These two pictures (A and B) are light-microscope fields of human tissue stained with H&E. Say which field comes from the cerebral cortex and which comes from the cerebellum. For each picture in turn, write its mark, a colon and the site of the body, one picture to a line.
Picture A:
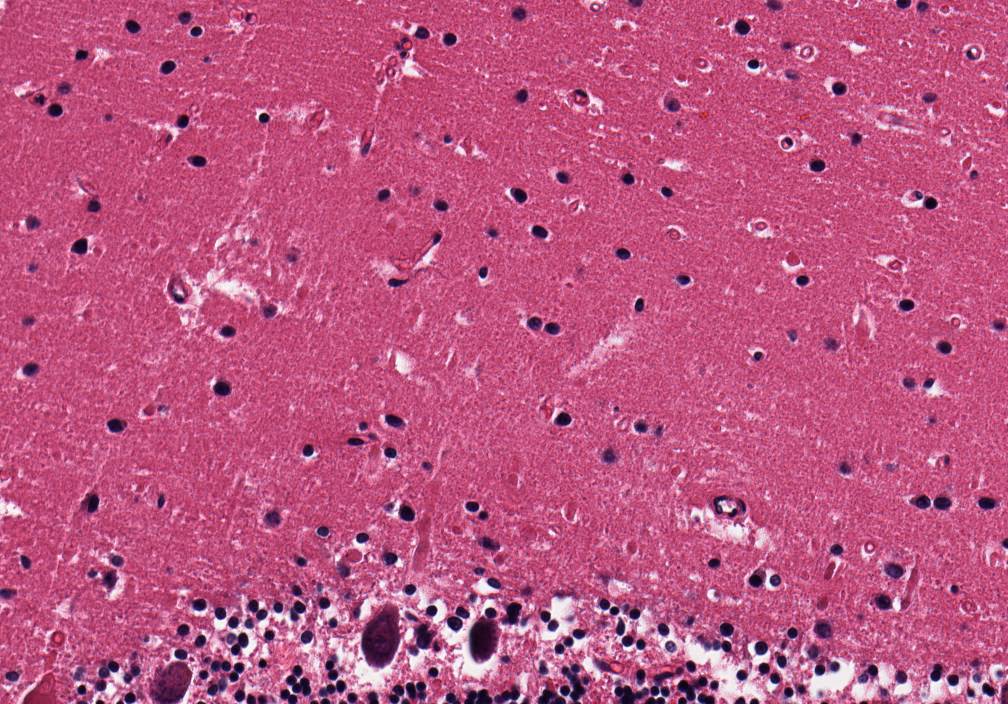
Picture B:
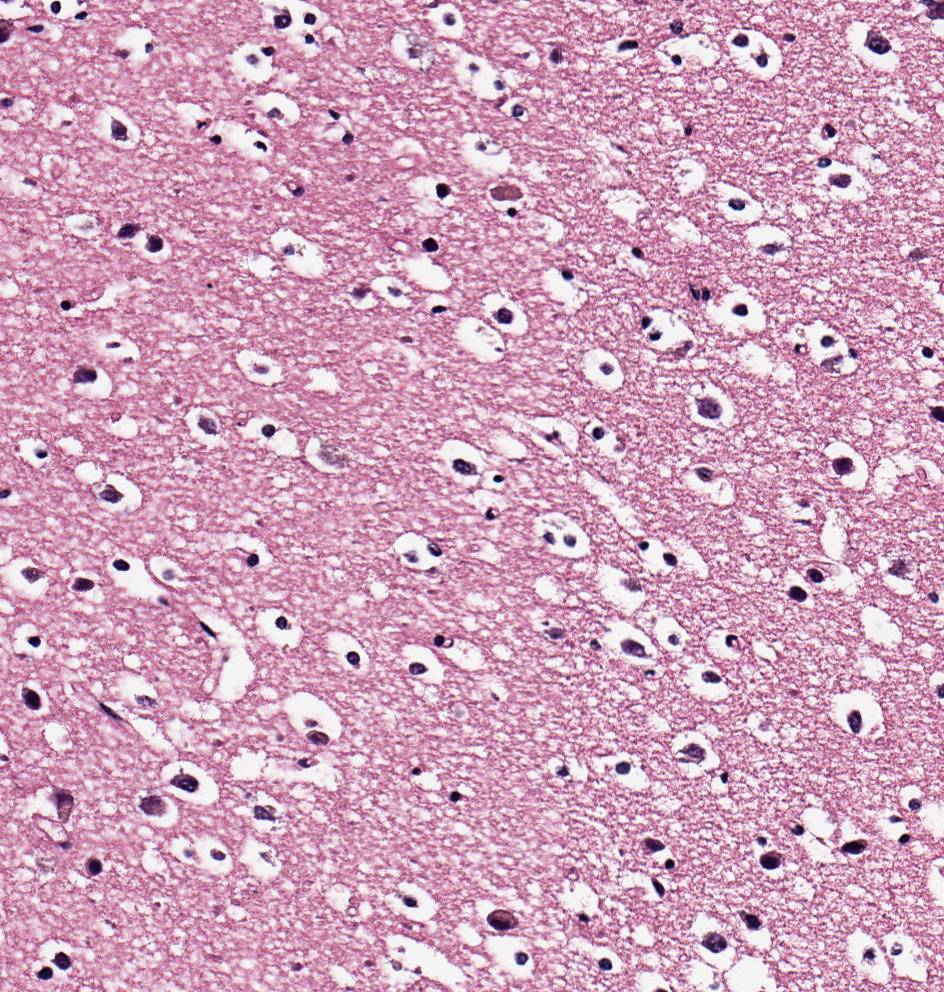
A: cerebellum
B: cerebral cortex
